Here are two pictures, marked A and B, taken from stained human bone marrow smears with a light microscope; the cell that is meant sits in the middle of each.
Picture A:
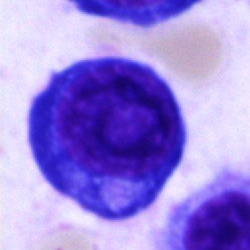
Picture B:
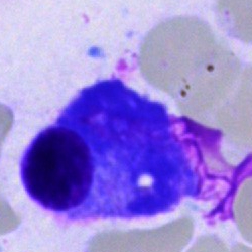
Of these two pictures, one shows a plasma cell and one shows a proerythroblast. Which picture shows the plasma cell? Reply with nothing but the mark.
B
